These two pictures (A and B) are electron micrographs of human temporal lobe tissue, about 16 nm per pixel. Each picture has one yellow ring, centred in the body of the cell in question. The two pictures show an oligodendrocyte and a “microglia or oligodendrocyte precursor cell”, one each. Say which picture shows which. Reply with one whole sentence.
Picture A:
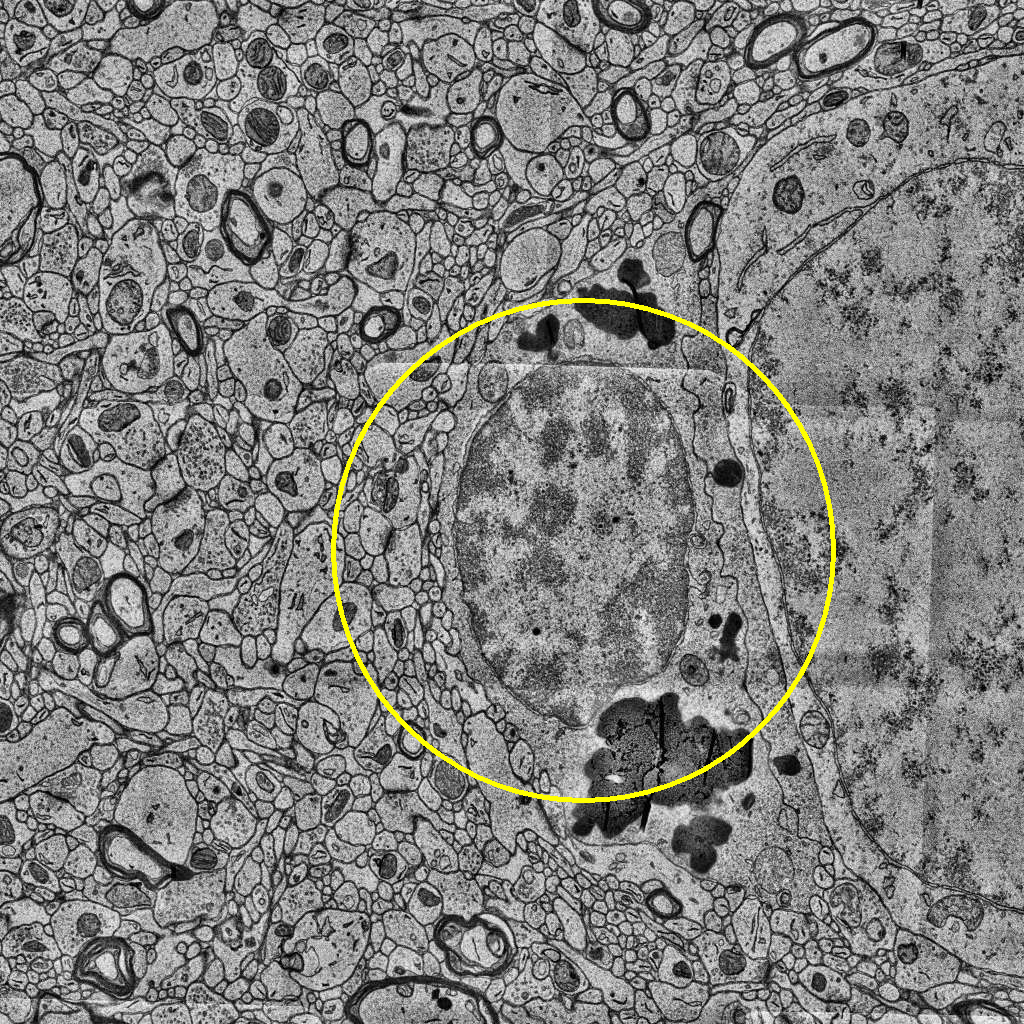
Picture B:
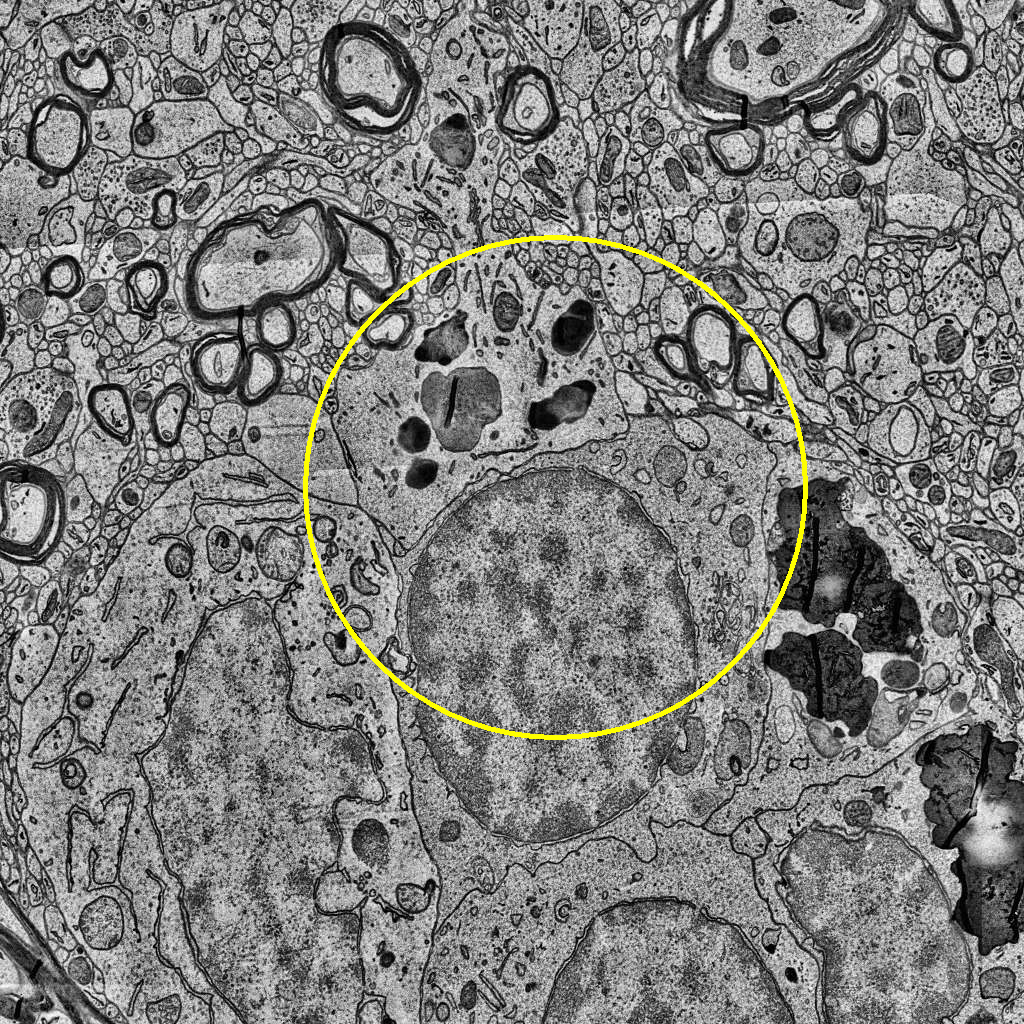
It is picture A that shows an oligodendrocyte, and picture B that shows a “microglia or oligodendrocyte precursor cell”.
